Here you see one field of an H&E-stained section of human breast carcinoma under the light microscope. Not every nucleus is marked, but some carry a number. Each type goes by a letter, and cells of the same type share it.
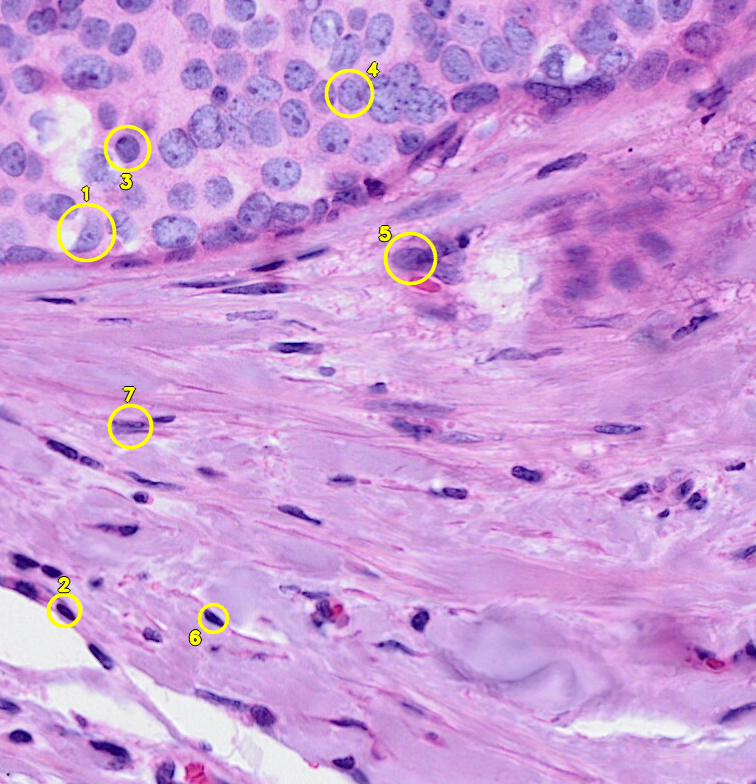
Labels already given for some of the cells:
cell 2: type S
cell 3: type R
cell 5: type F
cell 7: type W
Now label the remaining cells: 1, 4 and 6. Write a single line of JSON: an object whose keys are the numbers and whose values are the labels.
{"1": "type R", "4": "type R", "6": "type S"}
